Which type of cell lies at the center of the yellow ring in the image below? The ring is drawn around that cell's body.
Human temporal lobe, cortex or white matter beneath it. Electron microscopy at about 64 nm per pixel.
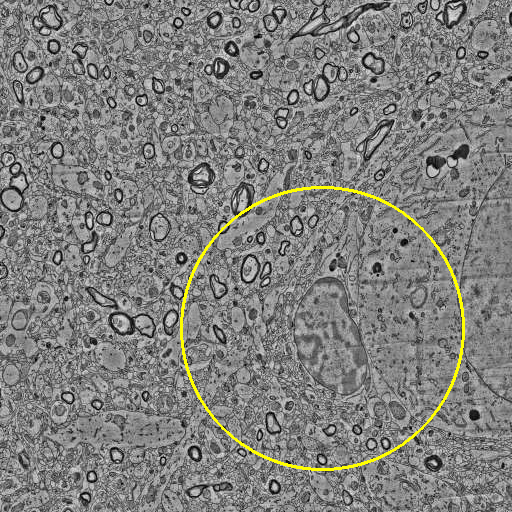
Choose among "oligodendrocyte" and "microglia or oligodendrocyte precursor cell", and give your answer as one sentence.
The cell body at the center belongs to a microglial cell or oligodendrocyte precursor cell.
